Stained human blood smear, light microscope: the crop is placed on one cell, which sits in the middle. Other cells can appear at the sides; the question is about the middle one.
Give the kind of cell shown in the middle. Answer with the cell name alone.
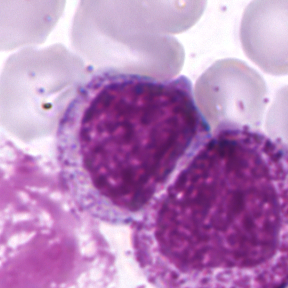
myelocyte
